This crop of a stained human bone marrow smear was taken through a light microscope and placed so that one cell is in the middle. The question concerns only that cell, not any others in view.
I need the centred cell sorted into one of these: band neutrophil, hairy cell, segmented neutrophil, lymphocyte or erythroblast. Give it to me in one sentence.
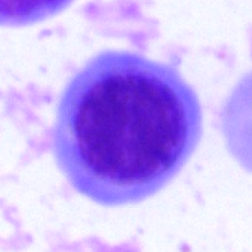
The single cell at the center of the crop is an erythroblast.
